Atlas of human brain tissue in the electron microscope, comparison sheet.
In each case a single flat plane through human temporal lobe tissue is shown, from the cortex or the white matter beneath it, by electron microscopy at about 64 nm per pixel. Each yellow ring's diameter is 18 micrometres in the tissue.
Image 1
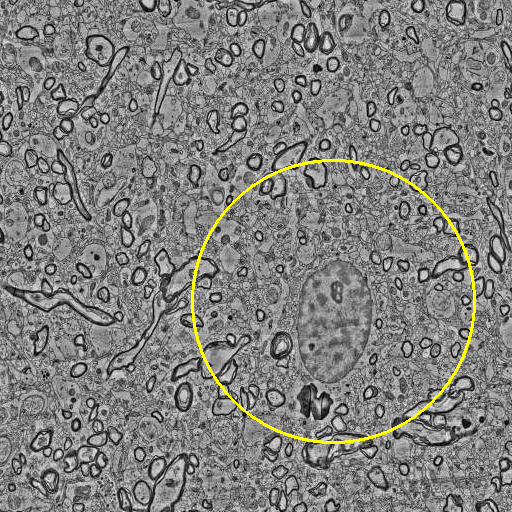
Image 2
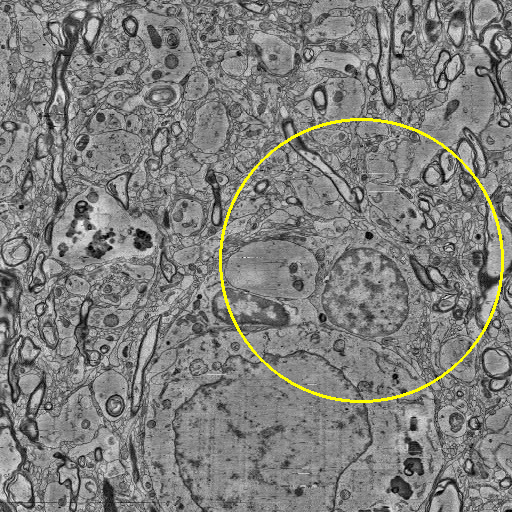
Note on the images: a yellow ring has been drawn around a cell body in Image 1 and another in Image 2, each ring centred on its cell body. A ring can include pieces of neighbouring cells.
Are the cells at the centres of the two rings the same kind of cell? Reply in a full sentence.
Yes, both cells are of the same kind.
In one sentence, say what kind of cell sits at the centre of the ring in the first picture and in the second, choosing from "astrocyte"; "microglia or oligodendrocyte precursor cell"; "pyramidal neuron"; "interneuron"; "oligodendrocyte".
The first and the second cell are each an oligodendrocyte.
